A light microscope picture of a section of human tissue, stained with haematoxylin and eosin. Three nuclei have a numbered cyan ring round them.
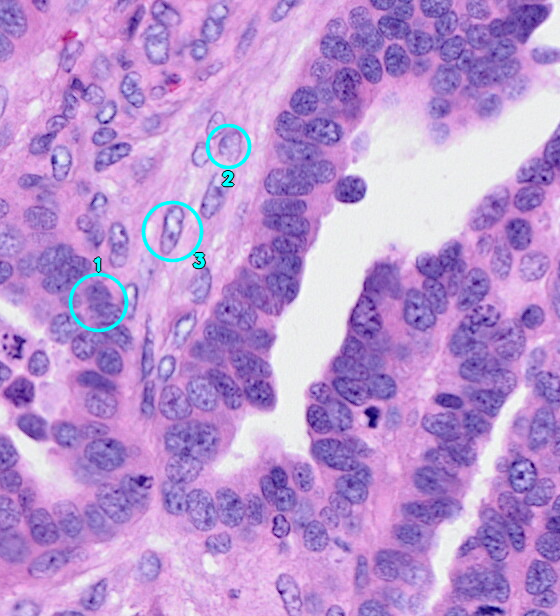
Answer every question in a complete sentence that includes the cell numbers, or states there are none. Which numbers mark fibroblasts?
Cells 2 and 3 in the section are typed as fibroblasts.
